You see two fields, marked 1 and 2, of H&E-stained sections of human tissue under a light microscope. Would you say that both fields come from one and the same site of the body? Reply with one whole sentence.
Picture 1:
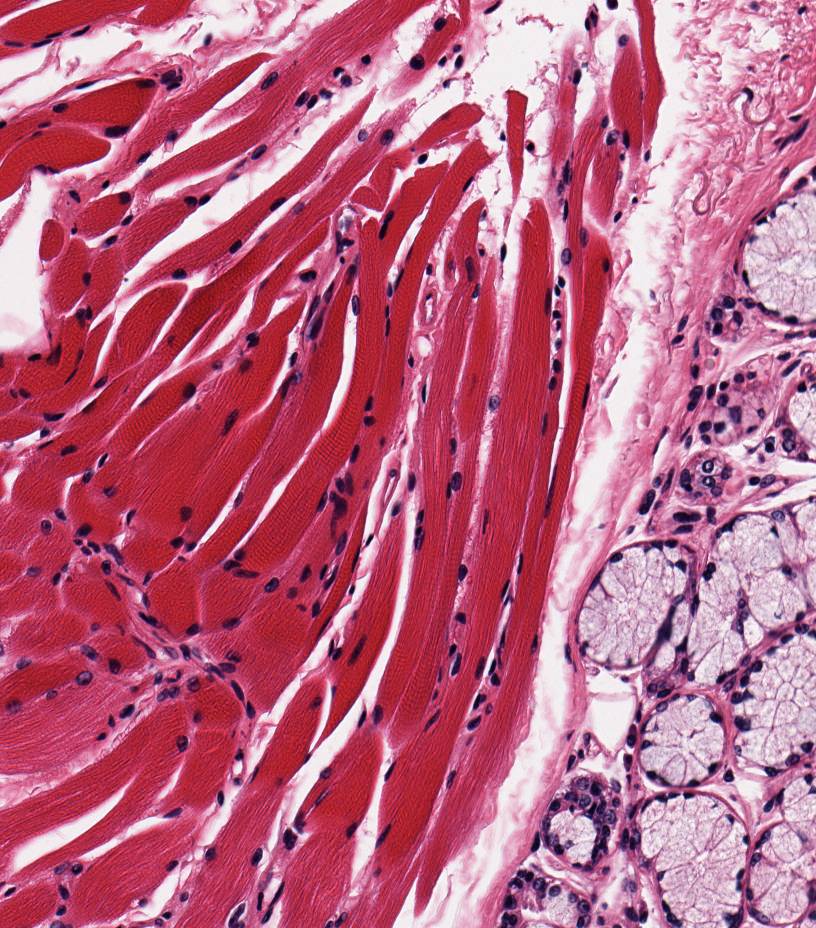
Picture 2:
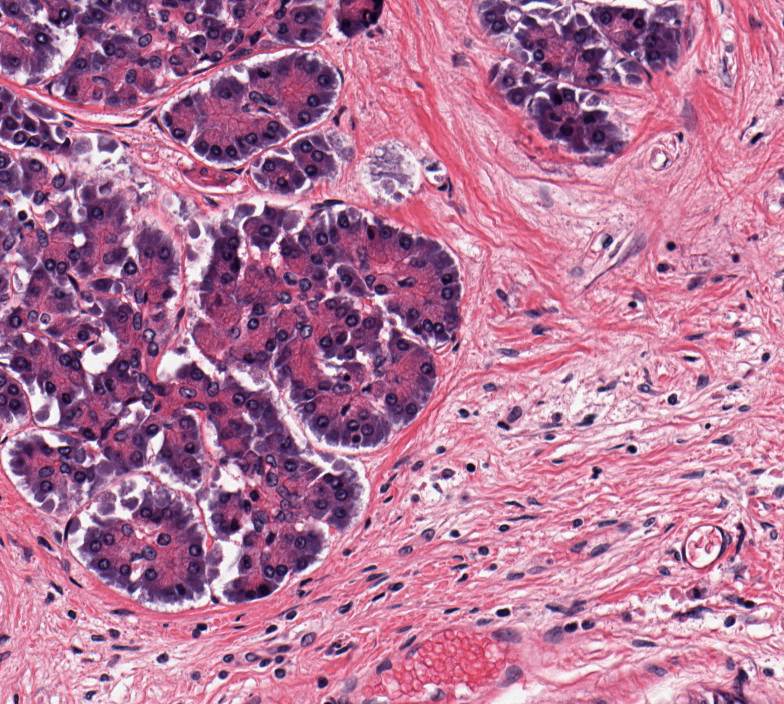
No, they differ: picture 1 comes from a minor salivary gland, and picture 2 comes from the pancreas.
